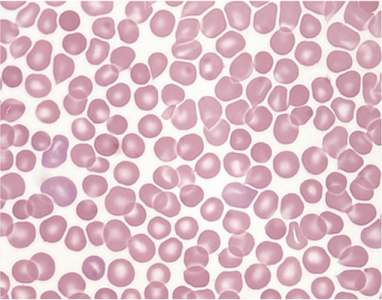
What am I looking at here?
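This blood smear shows densely packed erythrocytes, pink anucleate cells that are round to slightly oval with smooth outlines. Many show a paler central area, and they are of fairly uniform size, with occasional slightly larger, faintly bluish-tinged cells.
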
